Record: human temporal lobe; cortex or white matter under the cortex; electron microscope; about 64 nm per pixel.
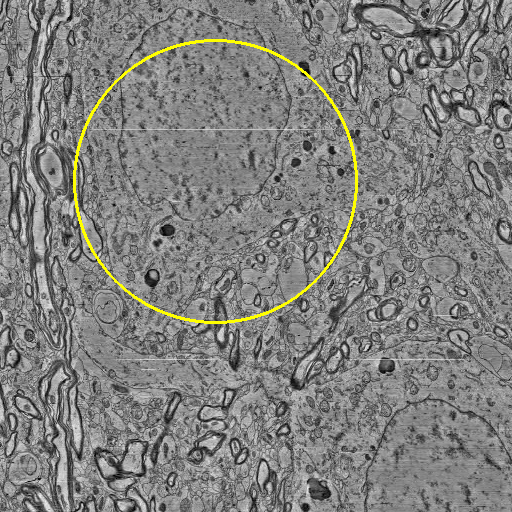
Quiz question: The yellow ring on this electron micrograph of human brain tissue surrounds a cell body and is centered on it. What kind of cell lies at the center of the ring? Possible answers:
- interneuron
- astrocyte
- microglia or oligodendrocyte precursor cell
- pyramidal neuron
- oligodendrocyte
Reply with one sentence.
The ring's center lies on a pyramidal neuron.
